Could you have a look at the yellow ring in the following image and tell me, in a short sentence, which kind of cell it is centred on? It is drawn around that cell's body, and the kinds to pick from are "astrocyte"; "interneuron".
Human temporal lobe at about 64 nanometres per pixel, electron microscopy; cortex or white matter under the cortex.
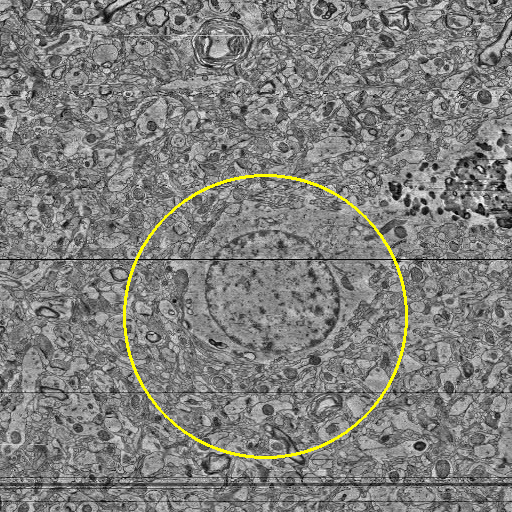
The ring is centred on the body of an astrocyte.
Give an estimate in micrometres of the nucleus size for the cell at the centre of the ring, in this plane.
Roughly 8 micrometers across in this plane.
